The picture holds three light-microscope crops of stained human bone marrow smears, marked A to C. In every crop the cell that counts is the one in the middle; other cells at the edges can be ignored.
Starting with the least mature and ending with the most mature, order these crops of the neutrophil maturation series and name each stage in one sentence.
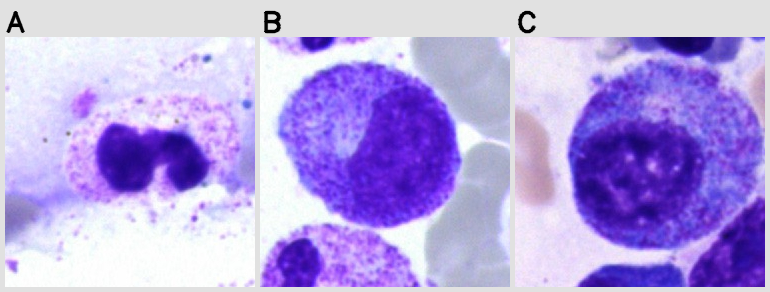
Starting with the least mature and ending with the most mature, the order is crop C (a promyelocyte), crop B (a myelocyte) and crop A (a segmented neutrophil).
